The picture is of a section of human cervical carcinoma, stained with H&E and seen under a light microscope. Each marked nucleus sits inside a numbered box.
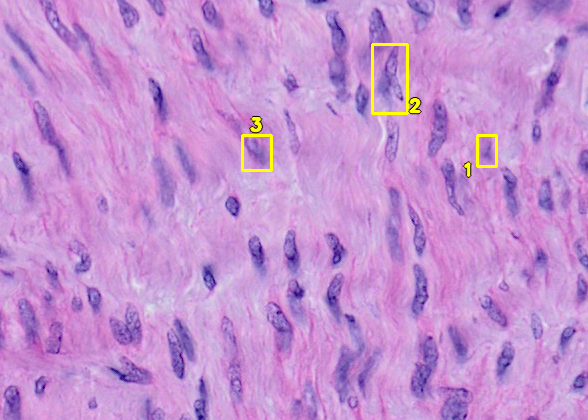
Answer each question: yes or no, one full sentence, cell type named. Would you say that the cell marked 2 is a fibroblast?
Yes, the cell indicated by number 2 is a fibroblast.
